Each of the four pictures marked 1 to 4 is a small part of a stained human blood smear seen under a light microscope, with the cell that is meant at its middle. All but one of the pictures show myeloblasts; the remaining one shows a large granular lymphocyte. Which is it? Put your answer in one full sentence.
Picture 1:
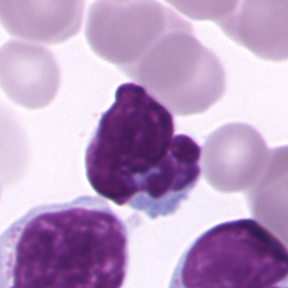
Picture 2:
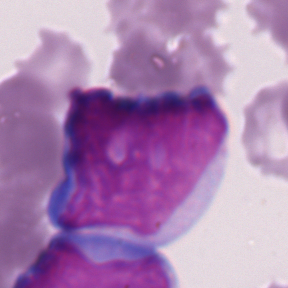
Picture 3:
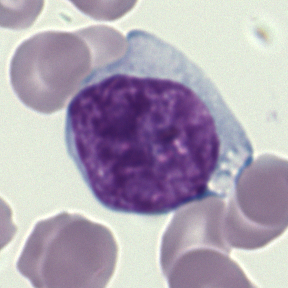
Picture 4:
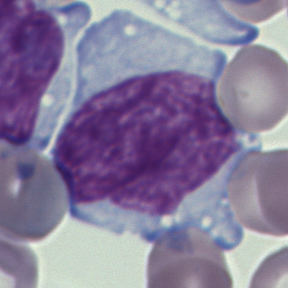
The picture with the large granular lymphocyte is 1.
